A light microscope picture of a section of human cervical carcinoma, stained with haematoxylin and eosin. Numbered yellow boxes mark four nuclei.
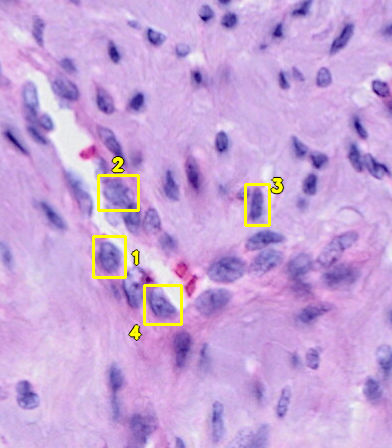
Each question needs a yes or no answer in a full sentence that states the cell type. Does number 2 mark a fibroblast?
No, cell 2 isn't a fibroblast; it's an endothelial cell.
